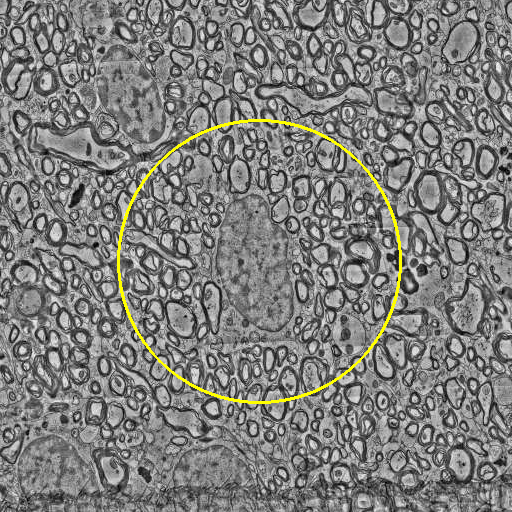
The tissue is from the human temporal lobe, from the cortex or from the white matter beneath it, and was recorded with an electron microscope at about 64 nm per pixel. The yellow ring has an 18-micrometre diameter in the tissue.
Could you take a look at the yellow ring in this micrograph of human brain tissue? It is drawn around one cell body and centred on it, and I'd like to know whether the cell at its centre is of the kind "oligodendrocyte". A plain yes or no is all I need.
yes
